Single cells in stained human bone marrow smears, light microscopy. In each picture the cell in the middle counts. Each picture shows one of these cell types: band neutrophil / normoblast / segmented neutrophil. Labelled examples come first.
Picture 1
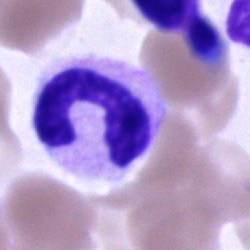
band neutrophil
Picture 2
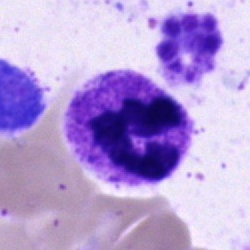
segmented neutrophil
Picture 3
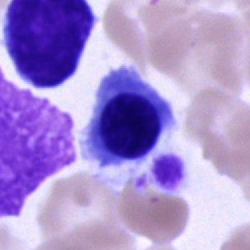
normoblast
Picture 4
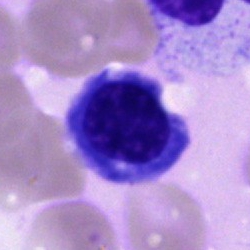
normoblast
